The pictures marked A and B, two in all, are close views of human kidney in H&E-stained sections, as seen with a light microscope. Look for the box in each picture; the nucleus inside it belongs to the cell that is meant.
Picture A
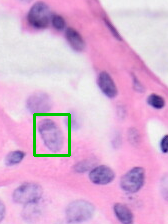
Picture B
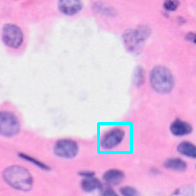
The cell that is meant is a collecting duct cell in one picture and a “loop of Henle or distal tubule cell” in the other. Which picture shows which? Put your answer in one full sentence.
Picture A is of a collecting duct cell, and picture B is of a “loop of Henle or distal tubule cell”.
